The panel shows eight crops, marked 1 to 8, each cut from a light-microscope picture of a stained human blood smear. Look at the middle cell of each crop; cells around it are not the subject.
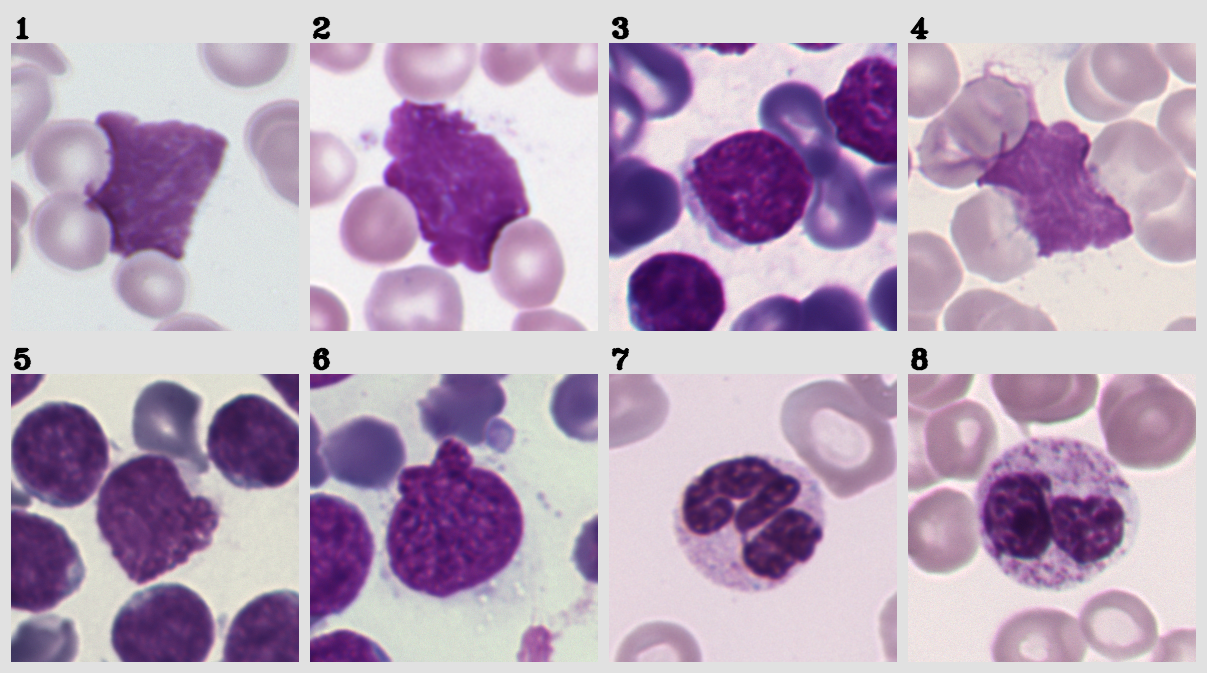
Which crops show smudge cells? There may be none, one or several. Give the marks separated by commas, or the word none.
1, 2, 4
